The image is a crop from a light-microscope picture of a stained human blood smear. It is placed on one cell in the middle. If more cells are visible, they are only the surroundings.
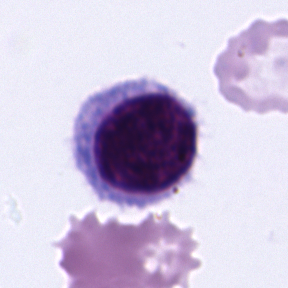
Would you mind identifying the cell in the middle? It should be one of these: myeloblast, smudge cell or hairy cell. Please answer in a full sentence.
The single cell at the center of the crop is a hairy cell.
